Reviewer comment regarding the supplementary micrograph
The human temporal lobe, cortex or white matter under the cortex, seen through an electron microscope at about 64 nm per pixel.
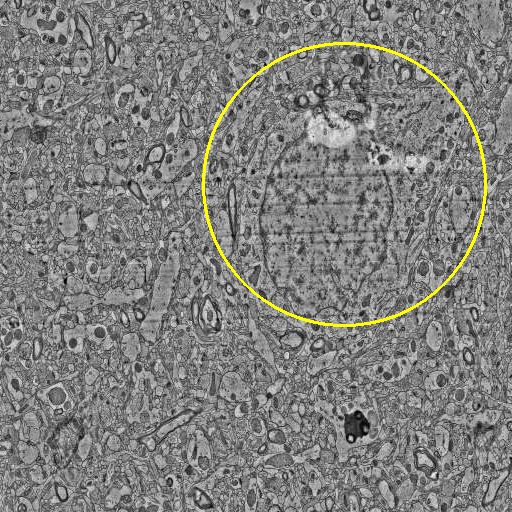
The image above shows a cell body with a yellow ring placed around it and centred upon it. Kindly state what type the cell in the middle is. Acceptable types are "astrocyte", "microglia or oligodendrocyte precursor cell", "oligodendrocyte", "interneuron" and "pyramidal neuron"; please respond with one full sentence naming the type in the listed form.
In the image above, the cell on which the yellow ring is centred is an interneuron.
